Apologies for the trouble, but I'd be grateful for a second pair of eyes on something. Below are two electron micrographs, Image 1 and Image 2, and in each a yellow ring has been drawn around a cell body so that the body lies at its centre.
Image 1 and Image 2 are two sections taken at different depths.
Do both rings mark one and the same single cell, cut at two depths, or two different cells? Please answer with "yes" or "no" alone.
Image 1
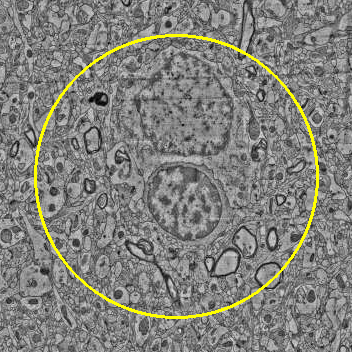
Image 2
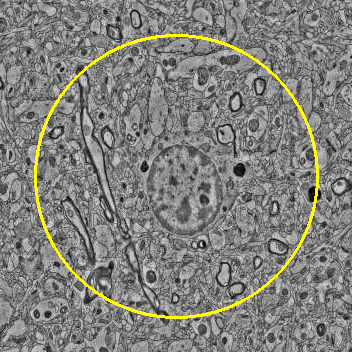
yes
